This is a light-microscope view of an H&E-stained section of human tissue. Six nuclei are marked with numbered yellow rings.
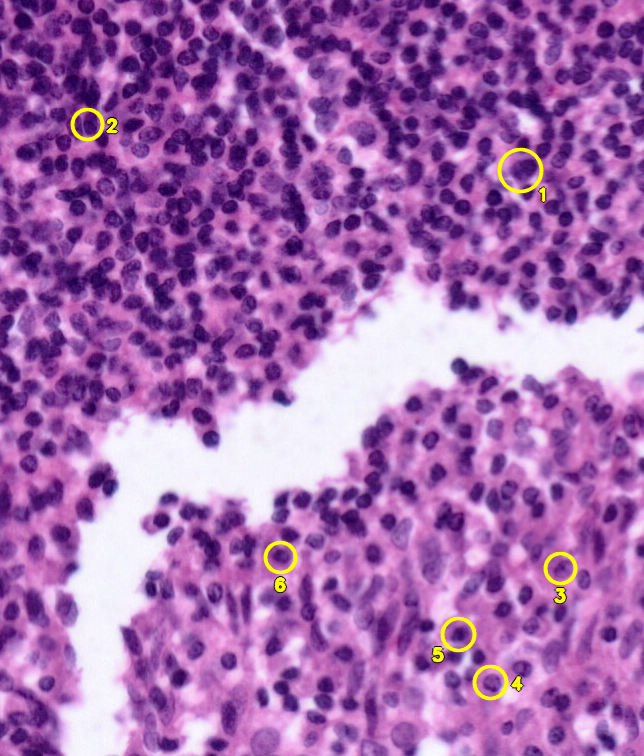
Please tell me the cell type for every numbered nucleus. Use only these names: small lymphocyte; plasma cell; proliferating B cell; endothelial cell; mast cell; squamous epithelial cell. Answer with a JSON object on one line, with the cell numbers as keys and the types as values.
{"1": "proliferating B cell", "2": "small lymphocyte", "3": "plasma cell", "4": "plasma cell", "5": "plasma cell", "6": "plasma cell"}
